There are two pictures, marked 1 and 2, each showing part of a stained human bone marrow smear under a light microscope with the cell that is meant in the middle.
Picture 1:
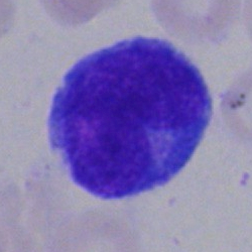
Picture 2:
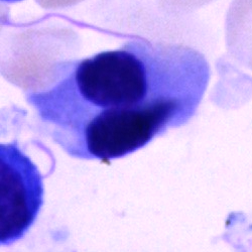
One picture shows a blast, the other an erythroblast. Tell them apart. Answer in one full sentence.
Picture 2 shows an erythroblast, while picture 1 shows a blast.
